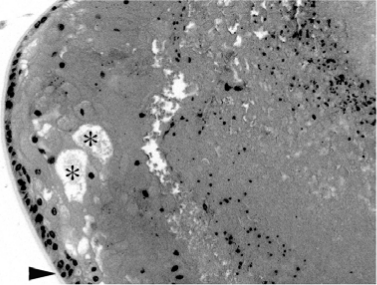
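Peripheral part of a lens near the bow region, with a thin capsule along the curved outer edge and a band of crowded dark nuclei beneath it. The underlying fiber cells lack an orderly parallel arrangement; the tissue is broken up by irregular pale clefts and two large rounded clear spaces holding sparse granular material. Dark nuclei are scattered widely through the disordered fiber mass rather than lying in an aligned band.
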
